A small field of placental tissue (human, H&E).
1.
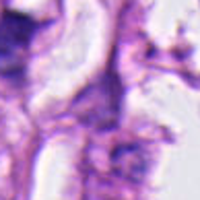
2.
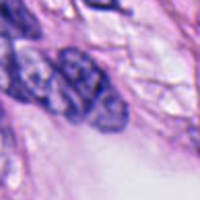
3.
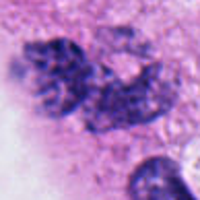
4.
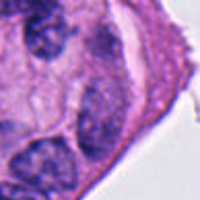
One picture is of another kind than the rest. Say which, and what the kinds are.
Picture 2 shows a vascular myocyte; the rest show cytotrophoblasts.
